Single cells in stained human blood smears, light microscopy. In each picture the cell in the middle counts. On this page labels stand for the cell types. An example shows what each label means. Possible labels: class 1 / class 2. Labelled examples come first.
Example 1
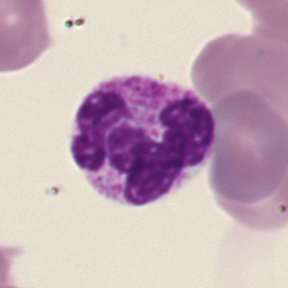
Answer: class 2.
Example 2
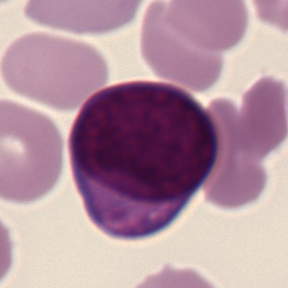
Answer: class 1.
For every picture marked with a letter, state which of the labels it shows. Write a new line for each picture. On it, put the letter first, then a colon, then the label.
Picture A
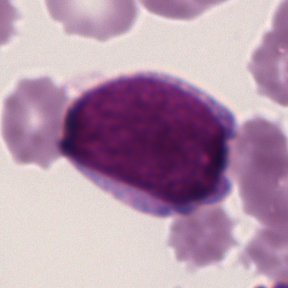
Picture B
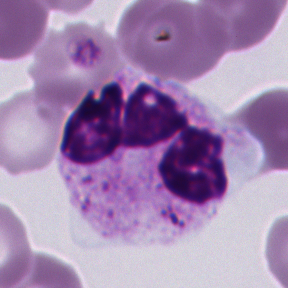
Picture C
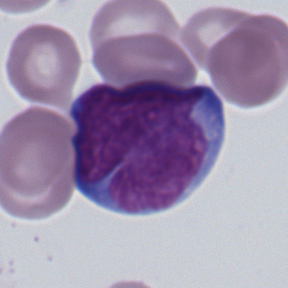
A: class 1.
B: class 2.
C: class 1.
